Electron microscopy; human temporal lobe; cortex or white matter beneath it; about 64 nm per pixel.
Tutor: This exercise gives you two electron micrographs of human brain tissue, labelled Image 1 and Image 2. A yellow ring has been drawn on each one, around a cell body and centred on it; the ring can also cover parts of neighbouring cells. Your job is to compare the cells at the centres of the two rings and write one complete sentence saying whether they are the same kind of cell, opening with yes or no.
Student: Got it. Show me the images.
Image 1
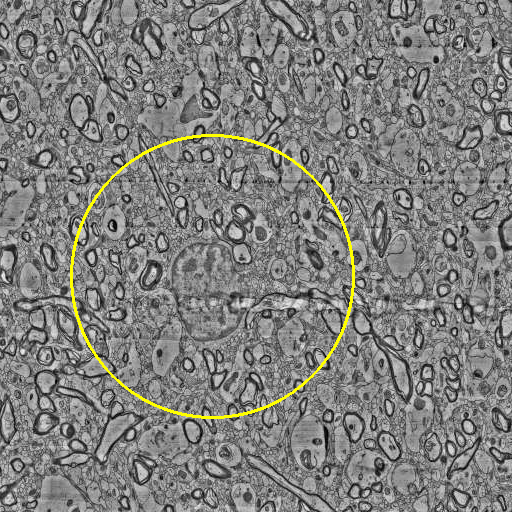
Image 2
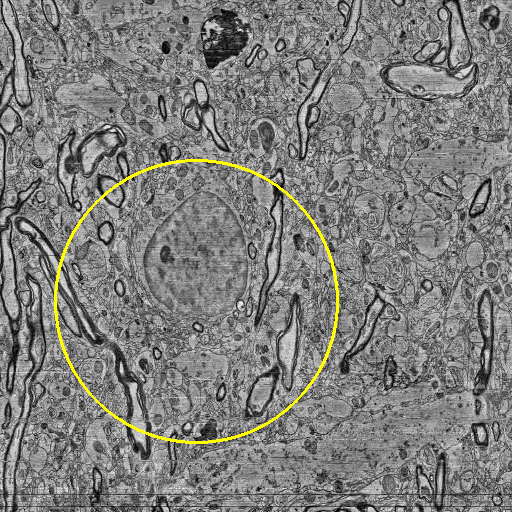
Yes, the two cells belong to the same kind.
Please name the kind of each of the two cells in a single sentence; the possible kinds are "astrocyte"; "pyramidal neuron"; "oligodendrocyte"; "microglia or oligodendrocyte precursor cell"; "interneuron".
Both cells are the same kind, each one being an oligodendrocyte.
